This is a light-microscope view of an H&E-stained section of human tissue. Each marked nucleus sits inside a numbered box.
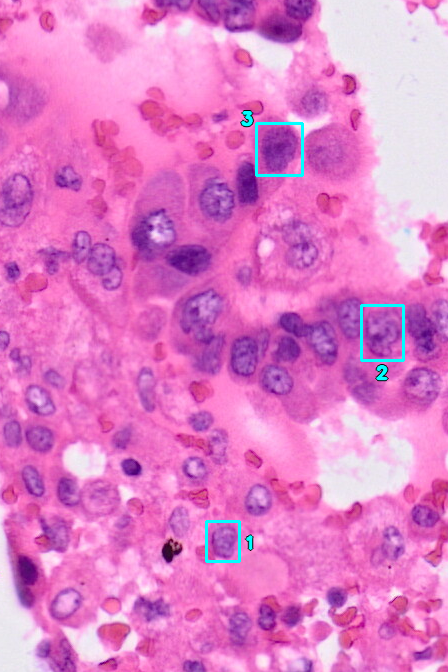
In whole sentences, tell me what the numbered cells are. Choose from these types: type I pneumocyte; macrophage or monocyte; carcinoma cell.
Cell 1 is a macrophage or monocyte, cell 2 is a carcinoma cell and cell 3 is a carcinoma cell.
